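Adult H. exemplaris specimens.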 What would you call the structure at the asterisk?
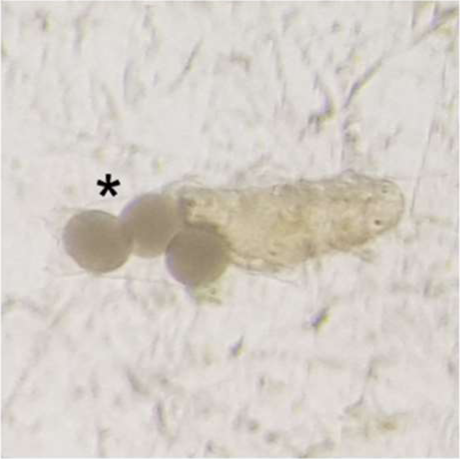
eggs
